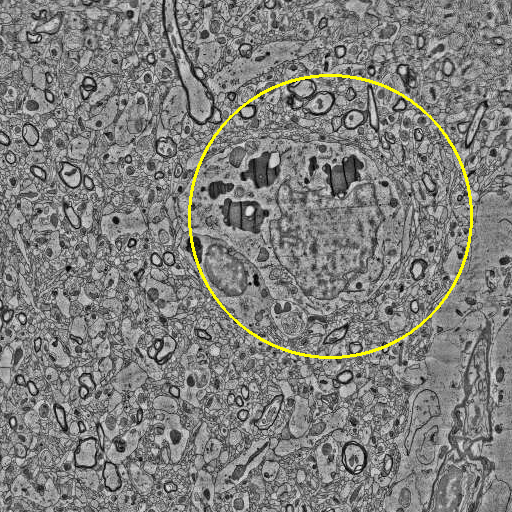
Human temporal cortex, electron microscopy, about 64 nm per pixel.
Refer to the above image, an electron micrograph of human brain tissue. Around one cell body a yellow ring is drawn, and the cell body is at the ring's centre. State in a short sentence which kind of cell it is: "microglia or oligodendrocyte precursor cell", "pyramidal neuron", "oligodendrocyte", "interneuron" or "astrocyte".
The centre of the ring falls on an interneuron.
